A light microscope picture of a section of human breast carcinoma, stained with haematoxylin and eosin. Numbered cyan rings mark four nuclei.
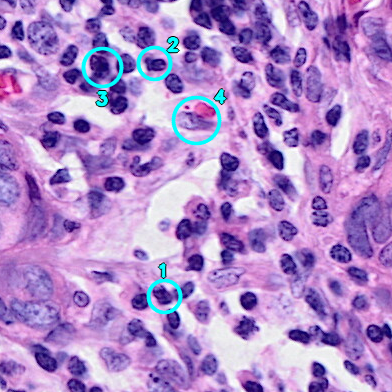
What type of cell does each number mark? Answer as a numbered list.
1. lymphocyte
2. lymphocyte
3. lymphocyte
4. endothelial cell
